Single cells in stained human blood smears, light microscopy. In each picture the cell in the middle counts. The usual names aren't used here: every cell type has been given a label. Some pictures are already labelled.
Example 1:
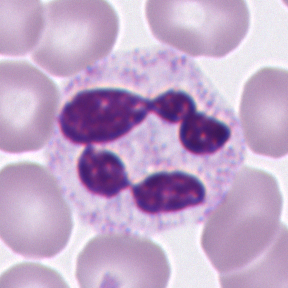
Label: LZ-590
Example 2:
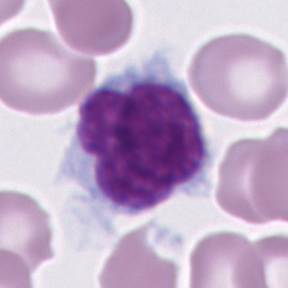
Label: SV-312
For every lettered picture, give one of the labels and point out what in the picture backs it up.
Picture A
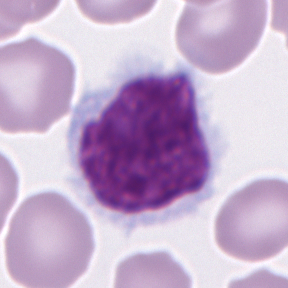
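Answer: SV-312. The cytoplasm forms only a narrow rim around the nucleus.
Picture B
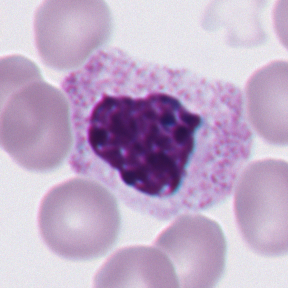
Answer: LZ-590. The cytoplasm forms a broad rim that is wider on the right side of the nucleus than on the left.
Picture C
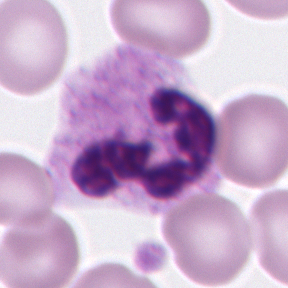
Answer: LZ-590. The cytoplasm is abundant and pale pinkish-lilac.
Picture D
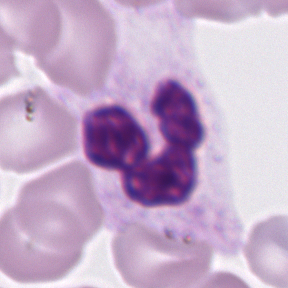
Answer: LZ-590. The cytoplasm is plentiful and pale pinkish-lilac.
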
